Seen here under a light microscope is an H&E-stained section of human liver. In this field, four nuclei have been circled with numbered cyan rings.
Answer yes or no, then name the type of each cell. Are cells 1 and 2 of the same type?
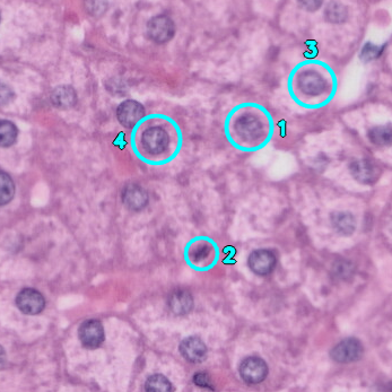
No, rather, cell 1 is a hepatocyte and cell 2 is an endothelial cell.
